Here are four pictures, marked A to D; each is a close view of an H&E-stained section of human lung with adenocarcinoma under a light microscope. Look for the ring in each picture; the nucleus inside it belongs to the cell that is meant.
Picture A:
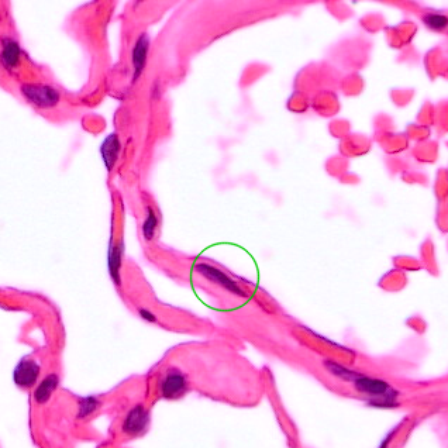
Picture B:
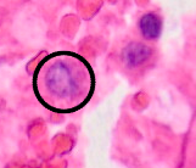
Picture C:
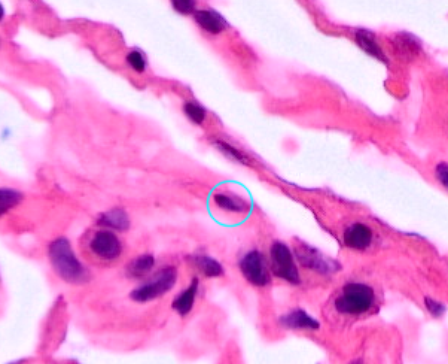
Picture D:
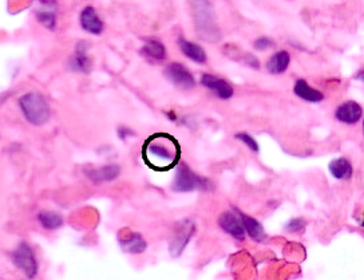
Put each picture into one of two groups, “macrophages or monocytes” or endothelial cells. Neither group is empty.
A: endothelial cell
B: macrophage or monocyte
C: endothelial cell
D: endothelial cell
